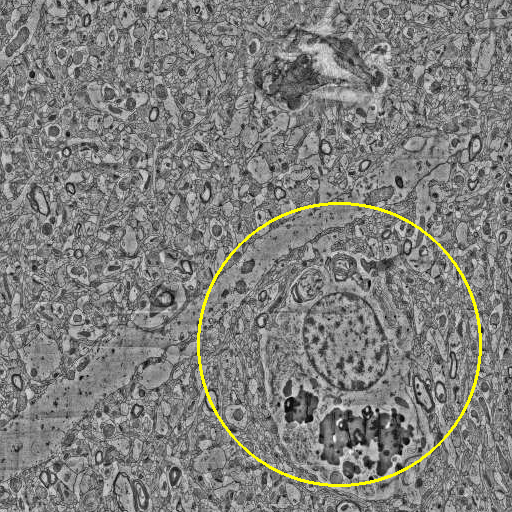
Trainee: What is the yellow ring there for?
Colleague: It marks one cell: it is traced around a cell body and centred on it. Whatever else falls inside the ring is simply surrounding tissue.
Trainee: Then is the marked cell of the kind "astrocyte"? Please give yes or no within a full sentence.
Yes, the marked cell at the centre of the yellow ring is of the kind asked about.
